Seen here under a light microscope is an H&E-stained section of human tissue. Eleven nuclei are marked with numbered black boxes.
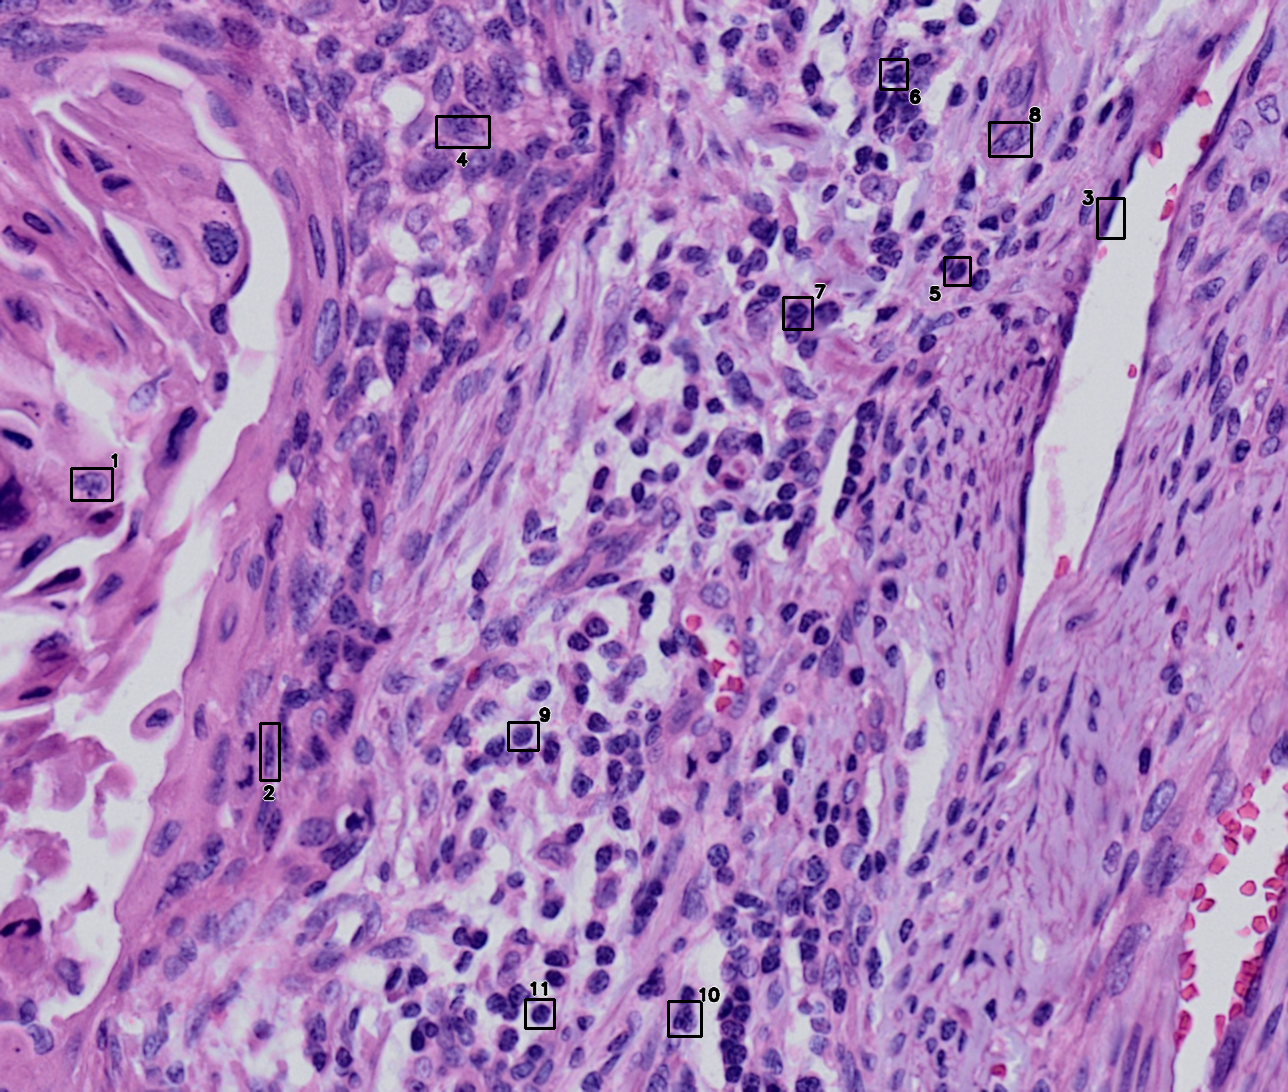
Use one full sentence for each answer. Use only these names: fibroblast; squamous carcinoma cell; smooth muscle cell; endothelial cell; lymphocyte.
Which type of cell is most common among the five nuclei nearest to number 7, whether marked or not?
The majority of the five nuclei closest to number 7 belong to lymphocytes.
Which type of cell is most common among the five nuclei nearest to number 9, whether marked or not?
Lymphocytes make up most of the five nuclei closest to number 9.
